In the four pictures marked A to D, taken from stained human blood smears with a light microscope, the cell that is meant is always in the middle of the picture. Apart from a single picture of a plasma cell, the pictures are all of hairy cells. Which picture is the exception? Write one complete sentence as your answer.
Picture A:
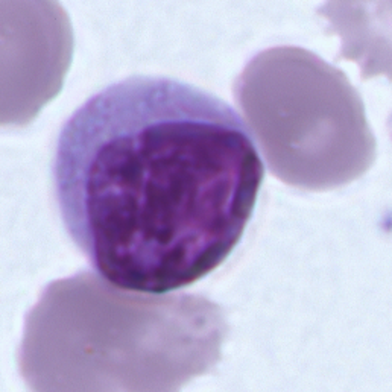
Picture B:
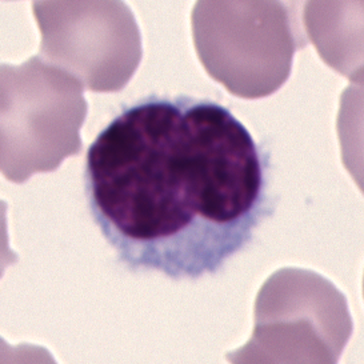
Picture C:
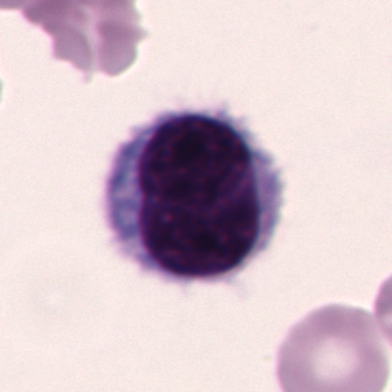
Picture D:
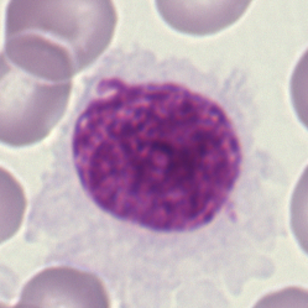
Picture A shows the plasma cell.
